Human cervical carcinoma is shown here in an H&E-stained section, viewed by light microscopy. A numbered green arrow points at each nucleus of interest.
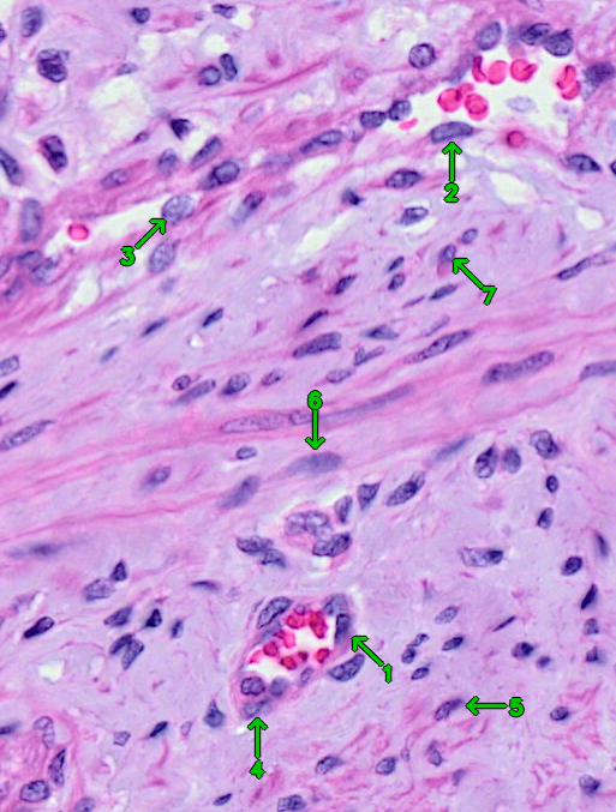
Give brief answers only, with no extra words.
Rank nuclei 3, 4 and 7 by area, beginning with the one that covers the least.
7, 4, 3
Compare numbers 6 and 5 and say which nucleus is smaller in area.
5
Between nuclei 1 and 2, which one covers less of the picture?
1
